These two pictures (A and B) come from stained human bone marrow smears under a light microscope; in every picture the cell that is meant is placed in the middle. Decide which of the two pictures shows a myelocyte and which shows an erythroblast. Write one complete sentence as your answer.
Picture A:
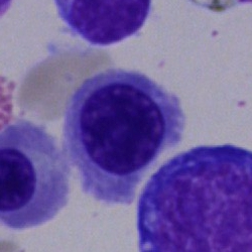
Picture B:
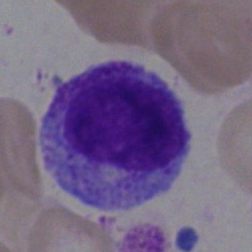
It is picture A that shows an erythroblast, and picture B that shows a myelocyte.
